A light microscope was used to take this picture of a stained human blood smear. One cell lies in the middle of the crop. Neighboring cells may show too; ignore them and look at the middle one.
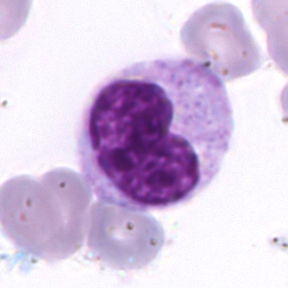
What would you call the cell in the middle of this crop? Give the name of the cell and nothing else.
metamyelocyte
